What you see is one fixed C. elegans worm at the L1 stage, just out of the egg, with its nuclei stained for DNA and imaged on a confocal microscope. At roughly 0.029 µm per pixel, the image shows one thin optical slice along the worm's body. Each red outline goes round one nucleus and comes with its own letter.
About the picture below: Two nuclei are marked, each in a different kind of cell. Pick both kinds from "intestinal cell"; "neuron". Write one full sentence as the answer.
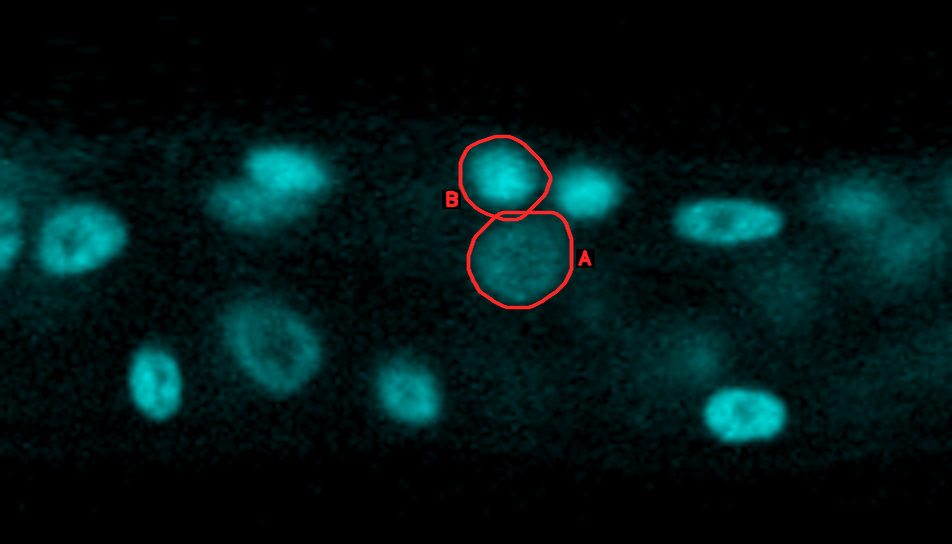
A is the nucleus of an intestinal cell; B is the nucleus of a neuron.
